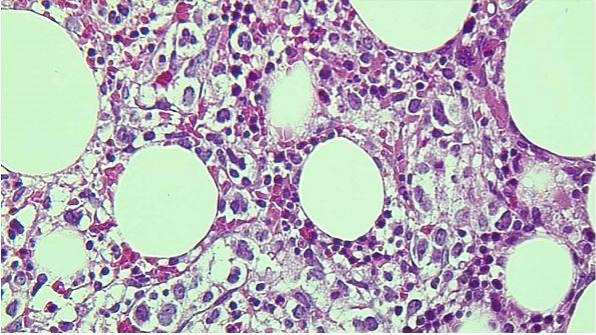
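This is bone marrow with large atypical cells infiltrating the marrow spaces between fat. Large round, empty fat vacuoles are scattered across the field. Between them lie many small cells with dark round nuclei, mixed with scattered larger cells that have big oval, paler nuclei and pale cytoplasm. Some of these large cells lie within thin-walled, space-like channels. A few red-pink cells and pink strands are also present among the cells.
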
